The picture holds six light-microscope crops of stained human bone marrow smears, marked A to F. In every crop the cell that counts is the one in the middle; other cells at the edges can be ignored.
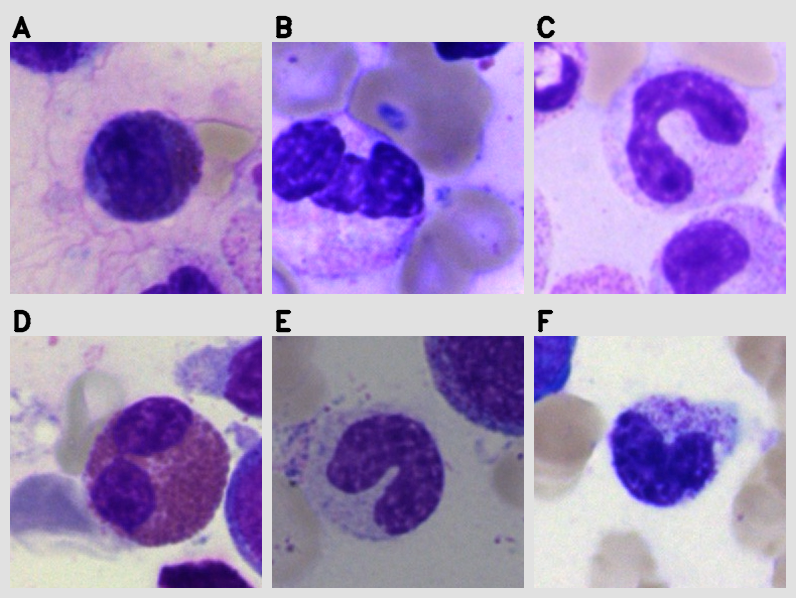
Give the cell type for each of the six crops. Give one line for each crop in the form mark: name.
A: eosinophil
B: segmented neutrophil
C: band neutrophil
D: eosinophil
E: band neutrophil
F: band neutrophil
